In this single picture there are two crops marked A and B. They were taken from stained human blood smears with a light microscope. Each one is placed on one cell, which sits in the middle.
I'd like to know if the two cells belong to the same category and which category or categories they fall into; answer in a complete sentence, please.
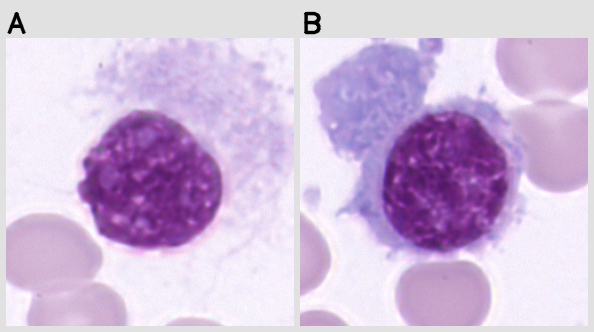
Yes, the cells placed at the centre of both crops are plasma cells.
